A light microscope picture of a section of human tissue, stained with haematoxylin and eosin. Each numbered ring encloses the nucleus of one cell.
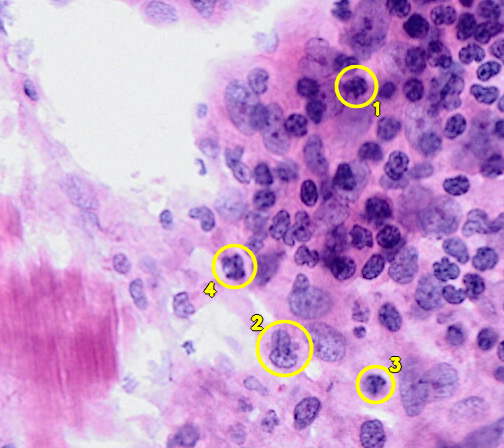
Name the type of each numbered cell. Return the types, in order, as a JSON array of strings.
["lymphocyte", "macrophage or monocyte", "lymphocyte", "lymphocyte"]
